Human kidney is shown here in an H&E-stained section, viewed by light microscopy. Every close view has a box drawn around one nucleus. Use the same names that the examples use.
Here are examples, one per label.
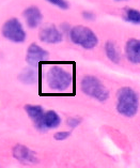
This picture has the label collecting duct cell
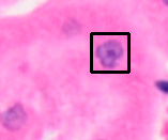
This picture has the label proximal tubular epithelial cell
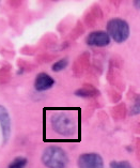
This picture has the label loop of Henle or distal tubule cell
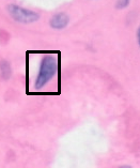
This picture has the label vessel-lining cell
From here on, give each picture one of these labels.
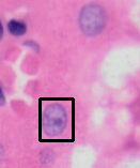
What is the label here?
proximal tubular epithelial cell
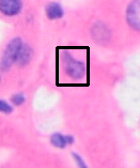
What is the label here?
proximal tubular epithelial cell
